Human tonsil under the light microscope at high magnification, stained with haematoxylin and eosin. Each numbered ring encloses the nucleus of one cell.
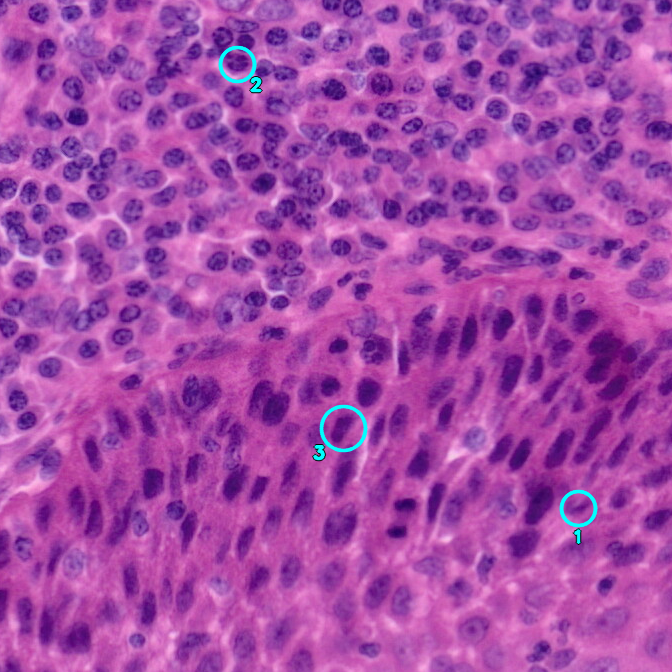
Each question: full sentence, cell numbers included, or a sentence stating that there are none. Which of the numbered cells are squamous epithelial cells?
The cells referred to by numbers 1 and 3 are squamous epithelial cells.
